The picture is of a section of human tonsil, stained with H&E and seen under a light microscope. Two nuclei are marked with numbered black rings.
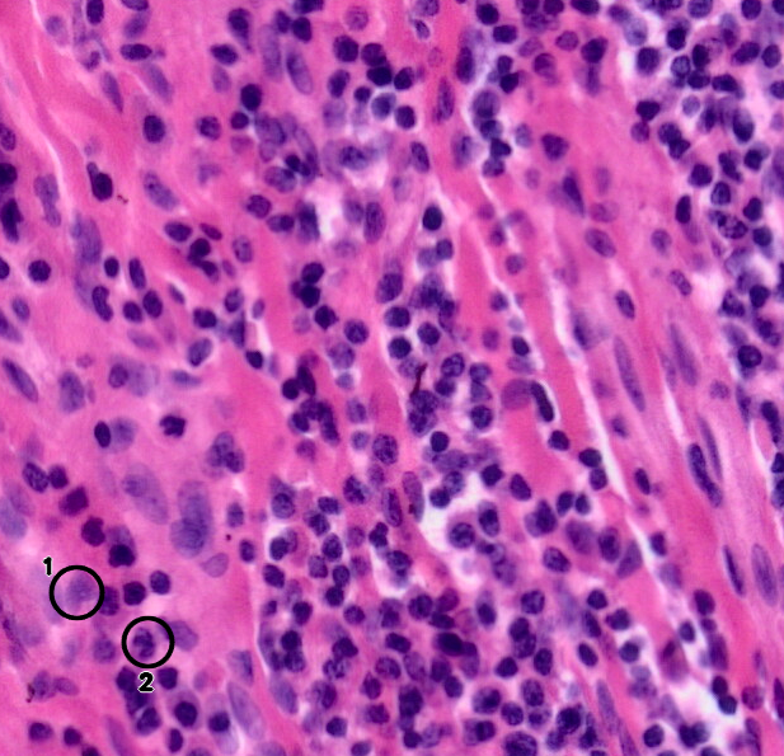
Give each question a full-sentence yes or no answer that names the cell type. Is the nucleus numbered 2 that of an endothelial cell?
No, cell 2 is a plasma cell; it is not an endothelial cell.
